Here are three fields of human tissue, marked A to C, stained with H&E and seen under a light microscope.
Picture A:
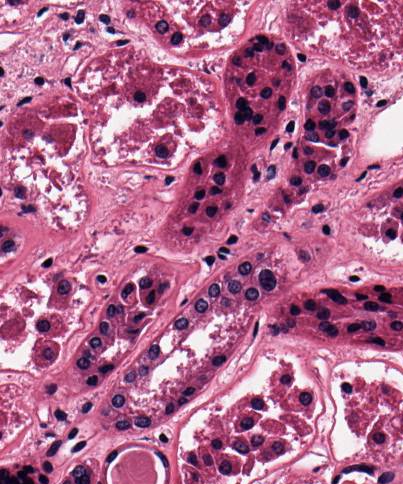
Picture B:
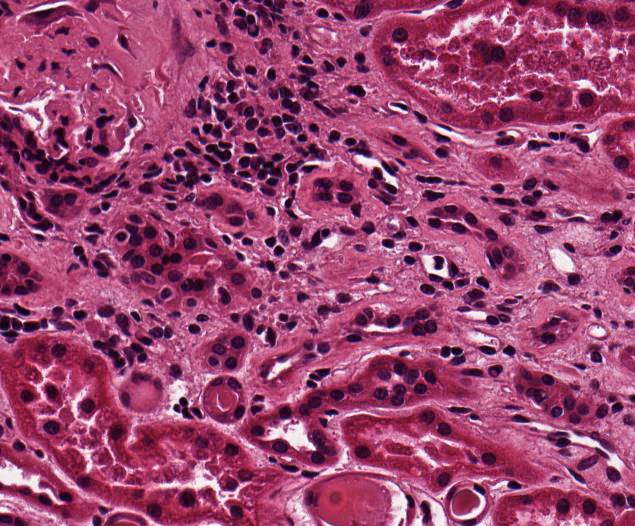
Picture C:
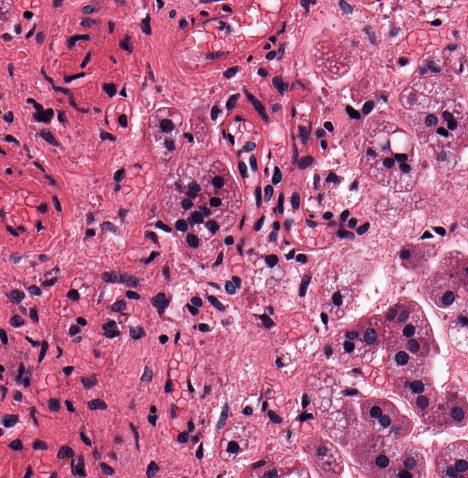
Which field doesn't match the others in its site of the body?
C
